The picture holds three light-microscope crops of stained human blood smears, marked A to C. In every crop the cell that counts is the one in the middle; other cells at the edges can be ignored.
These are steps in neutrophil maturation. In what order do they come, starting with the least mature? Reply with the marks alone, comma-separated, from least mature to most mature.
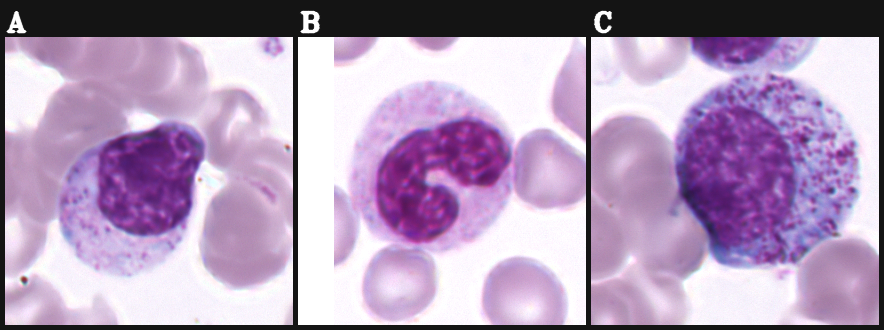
C, A, B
